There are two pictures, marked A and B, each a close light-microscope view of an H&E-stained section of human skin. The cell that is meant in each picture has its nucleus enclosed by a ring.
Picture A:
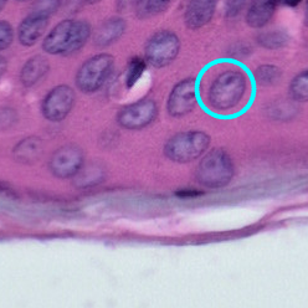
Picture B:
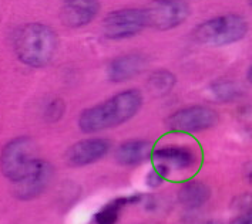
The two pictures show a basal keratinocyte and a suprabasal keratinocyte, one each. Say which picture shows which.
A: suprabasal keratinocyte
B: basal keratinocyte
